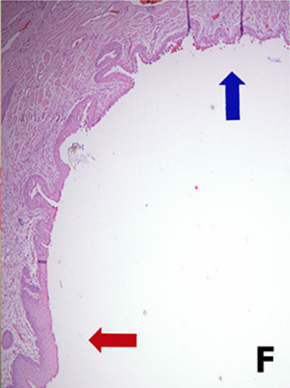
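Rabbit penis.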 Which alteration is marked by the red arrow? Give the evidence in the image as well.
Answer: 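The epithelium lining the lumen at the red arrow is thicker and layered. The lining there is flatter and less folded than at the top of the lumen. So: squamous metaplasia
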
